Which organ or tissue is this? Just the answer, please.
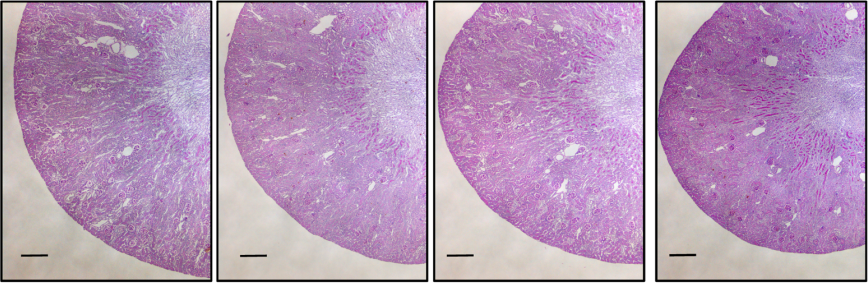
Kidneys.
